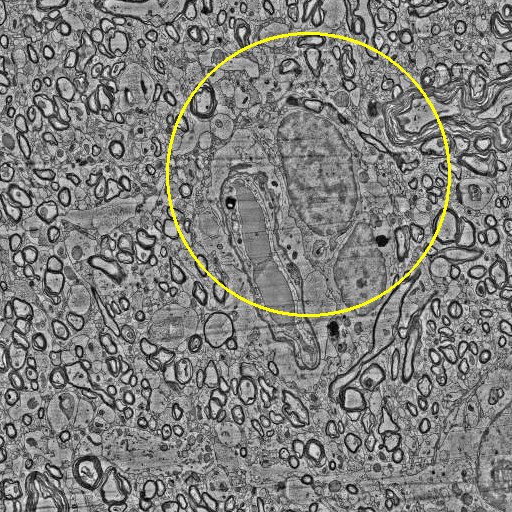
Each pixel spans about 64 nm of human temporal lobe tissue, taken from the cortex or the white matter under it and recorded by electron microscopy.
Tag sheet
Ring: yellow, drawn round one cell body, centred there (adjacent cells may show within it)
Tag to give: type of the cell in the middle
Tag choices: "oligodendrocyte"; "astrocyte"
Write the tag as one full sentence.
I tag the cell centred in the yellow ring as an oligodendrocyte in this picture.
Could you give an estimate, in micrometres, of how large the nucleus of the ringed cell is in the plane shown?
The ringed cell's nucleus is roughly 8 by 4 micrometres and clearly longer than it is wide in this plane.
